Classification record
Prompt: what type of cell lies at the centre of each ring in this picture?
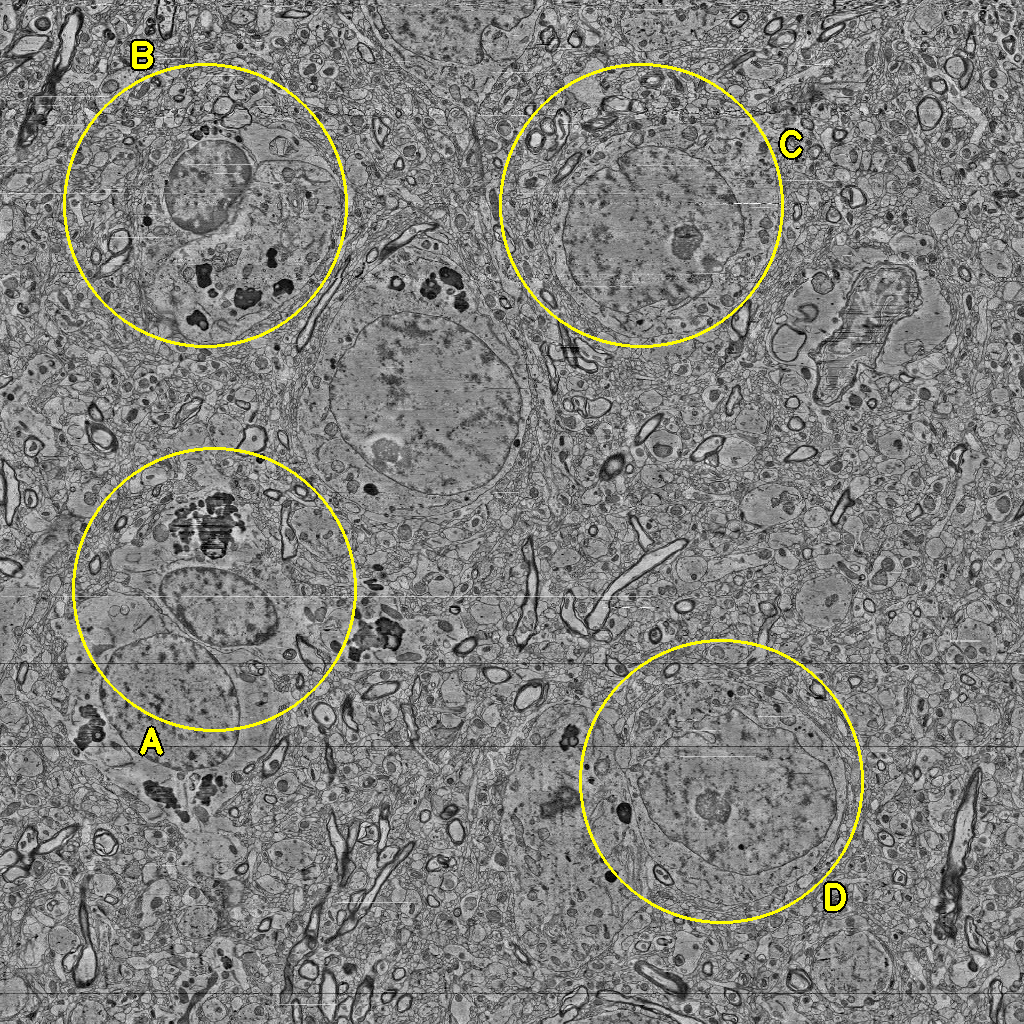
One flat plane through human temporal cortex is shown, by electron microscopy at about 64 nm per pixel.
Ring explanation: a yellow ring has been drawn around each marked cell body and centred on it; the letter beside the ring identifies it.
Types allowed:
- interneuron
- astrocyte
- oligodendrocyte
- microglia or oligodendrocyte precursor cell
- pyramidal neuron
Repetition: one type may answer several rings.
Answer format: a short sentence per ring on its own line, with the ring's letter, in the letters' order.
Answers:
Ring A shows an astrocyte at its centre.
Ring B shows a microglial cell or oligodendrocyte precursor cell at its centre.
Ring C shows a pyramidal neuron at its centre.
Ring D shows a pyramidal neuron at its centre.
